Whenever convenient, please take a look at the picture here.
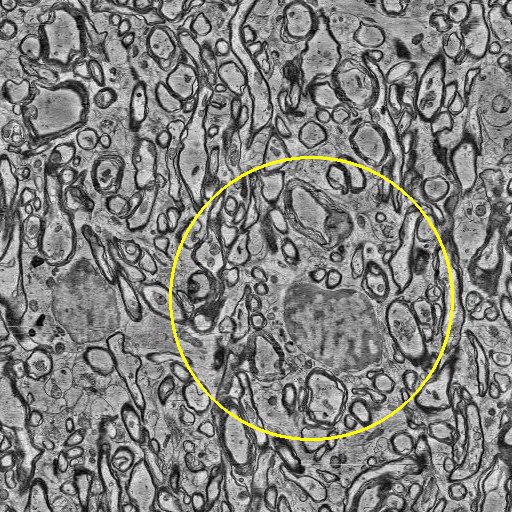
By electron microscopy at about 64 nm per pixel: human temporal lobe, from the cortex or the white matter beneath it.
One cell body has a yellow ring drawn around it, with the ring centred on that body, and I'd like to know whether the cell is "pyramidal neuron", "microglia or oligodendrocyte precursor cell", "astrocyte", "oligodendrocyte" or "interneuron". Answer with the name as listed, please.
microglia or oligodendrocyte precursor cell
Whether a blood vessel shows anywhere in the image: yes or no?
No, a blood vessel is absent from this picture.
